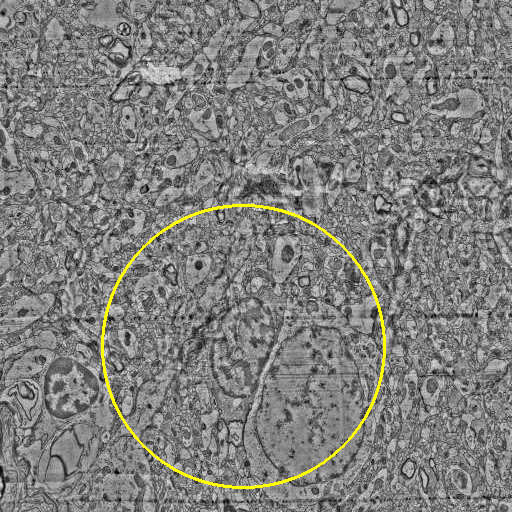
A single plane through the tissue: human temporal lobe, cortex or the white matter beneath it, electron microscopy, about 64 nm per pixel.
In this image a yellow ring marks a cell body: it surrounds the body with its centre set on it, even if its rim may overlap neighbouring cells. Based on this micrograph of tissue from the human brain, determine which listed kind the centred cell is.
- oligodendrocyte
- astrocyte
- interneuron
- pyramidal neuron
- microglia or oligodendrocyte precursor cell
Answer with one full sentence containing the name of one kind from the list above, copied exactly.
It is an oligodendrocyte whose body the yellow ring encloses at its centre.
